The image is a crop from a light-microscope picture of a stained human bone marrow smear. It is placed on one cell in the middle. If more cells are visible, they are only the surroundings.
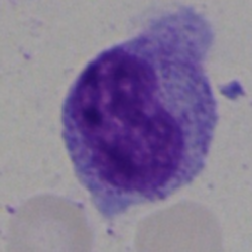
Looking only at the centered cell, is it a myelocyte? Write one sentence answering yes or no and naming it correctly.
No, the central cell is classed as a metamyelocyte and not as a myelocyte.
